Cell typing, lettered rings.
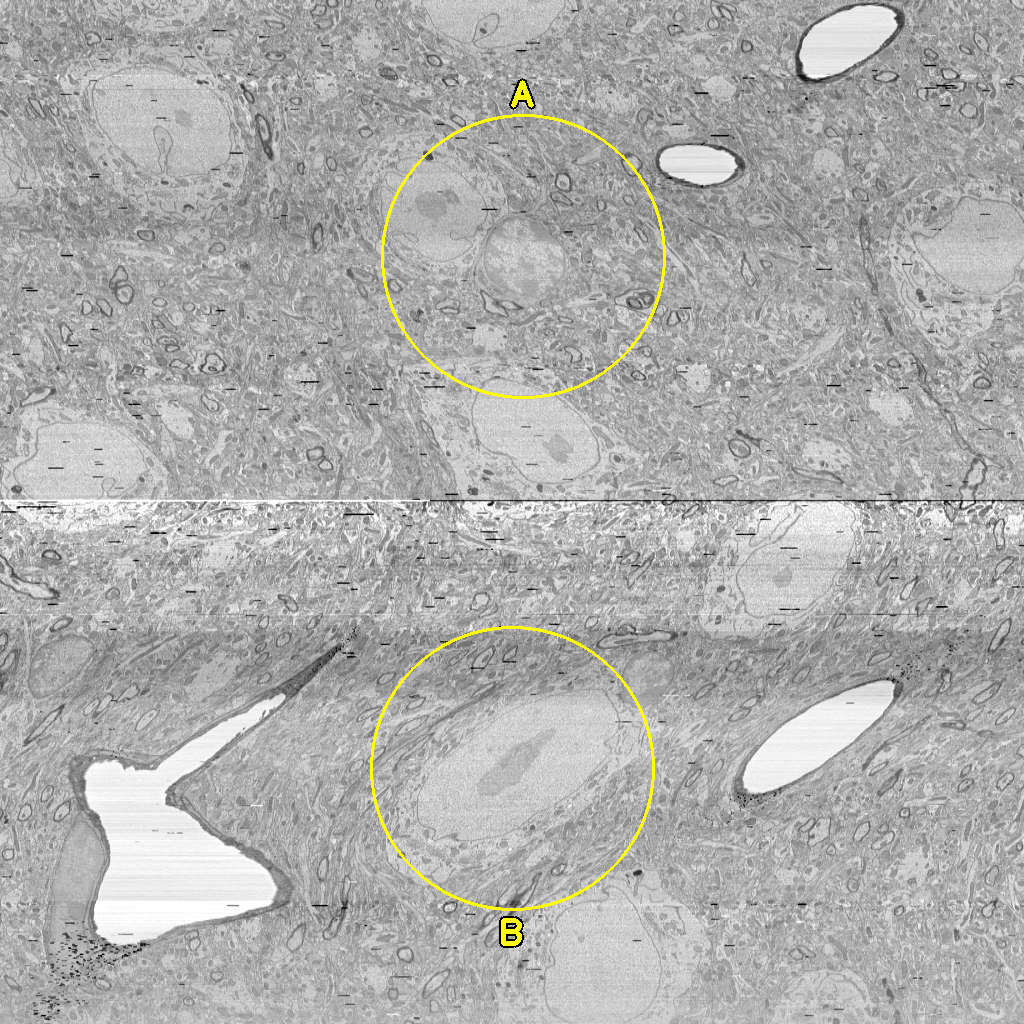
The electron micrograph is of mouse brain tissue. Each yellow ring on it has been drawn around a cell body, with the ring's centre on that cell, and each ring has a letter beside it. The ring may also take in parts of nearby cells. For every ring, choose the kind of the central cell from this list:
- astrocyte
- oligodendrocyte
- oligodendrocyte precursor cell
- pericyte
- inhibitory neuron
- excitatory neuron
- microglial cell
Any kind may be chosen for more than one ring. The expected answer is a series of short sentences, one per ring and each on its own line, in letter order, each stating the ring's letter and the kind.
For ring A, the centred cell is an oligodendrocyte.
For ring B, the centred cell is an excitatory neuron.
